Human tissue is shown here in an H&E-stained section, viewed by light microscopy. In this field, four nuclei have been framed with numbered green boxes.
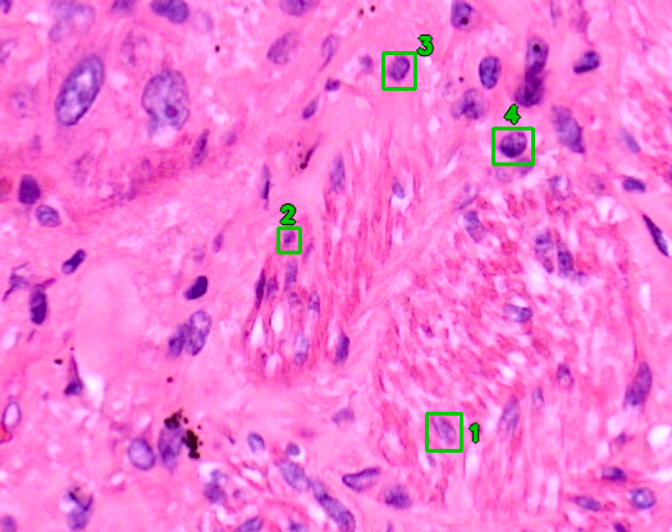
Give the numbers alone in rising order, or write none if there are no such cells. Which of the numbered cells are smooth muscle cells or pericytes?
1, 2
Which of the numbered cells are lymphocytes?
4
